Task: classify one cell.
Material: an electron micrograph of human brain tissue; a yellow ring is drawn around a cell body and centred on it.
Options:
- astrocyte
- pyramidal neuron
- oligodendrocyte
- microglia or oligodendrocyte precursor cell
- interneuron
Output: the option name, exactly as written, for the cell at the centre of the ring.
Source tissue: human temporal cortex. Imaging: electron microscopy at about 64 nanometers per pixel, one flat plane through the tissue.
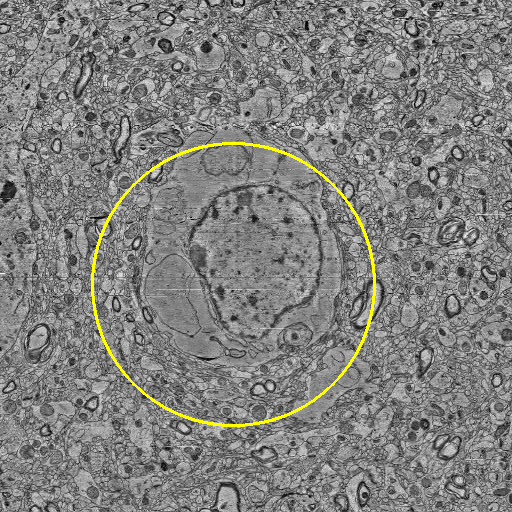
astrocyte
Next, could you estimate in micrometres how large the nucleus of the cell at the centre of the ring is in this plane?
Roughly 10 micrometres by 9 micrometres, in this plane.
